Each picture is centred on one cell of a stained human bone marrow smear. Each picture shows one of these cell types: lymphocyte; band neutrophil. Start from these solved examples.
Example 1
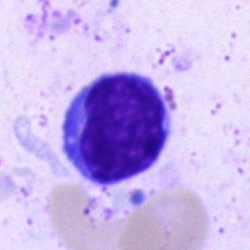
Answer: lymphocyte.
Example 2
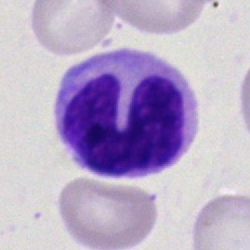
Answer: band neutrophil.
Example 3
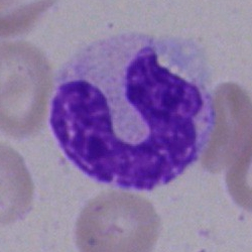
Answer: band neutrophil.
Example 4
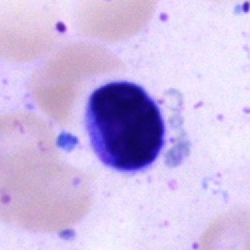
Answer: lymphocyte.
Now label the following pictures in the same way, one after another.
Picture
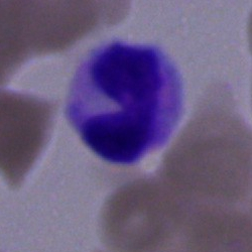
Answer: band neutrophil.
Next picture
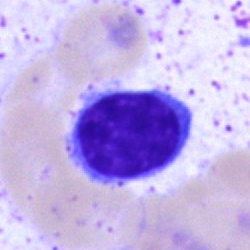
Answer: lymphocyte.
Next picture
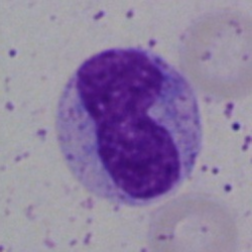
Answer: band neutrophil.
